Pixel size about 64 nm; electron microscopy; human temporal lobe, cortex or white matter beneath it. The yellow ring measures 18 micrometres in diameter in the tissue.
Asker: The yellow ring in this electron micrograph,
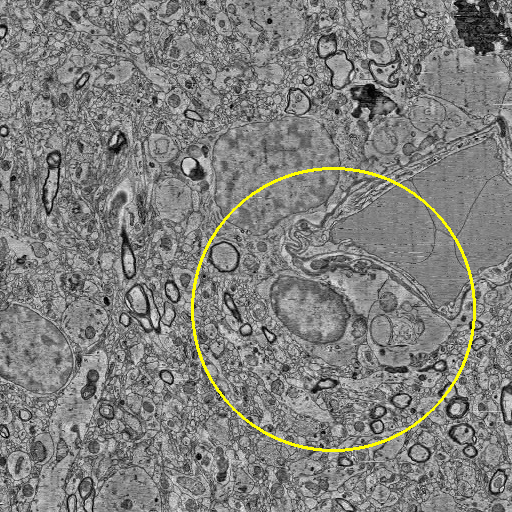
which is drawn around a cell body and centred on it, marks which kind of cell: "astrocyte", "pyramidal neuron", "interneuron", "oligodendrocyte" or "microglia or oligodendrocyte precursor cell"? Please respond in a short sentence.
The marked cell is an oligodendrocyte.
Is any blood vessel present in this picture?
Yes, a vessel appears in the picture.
